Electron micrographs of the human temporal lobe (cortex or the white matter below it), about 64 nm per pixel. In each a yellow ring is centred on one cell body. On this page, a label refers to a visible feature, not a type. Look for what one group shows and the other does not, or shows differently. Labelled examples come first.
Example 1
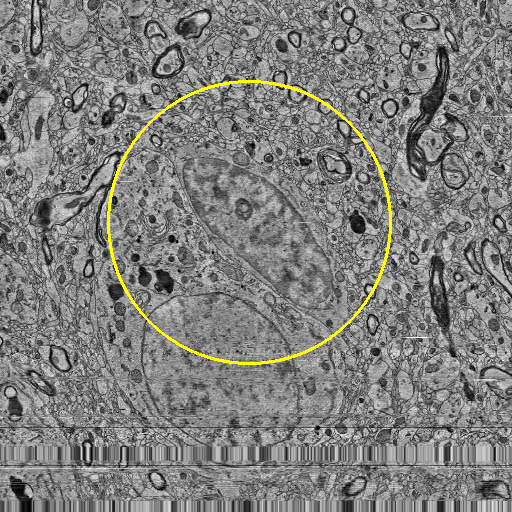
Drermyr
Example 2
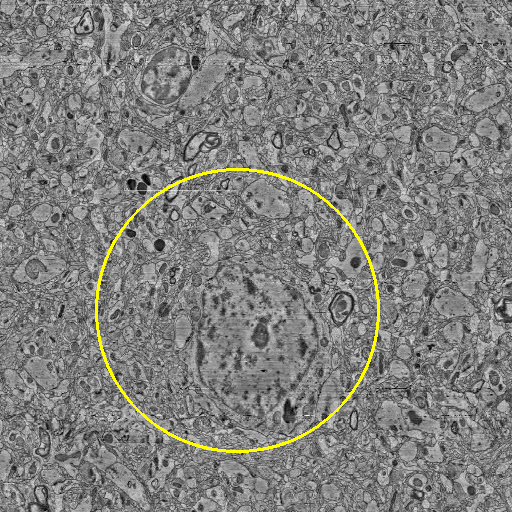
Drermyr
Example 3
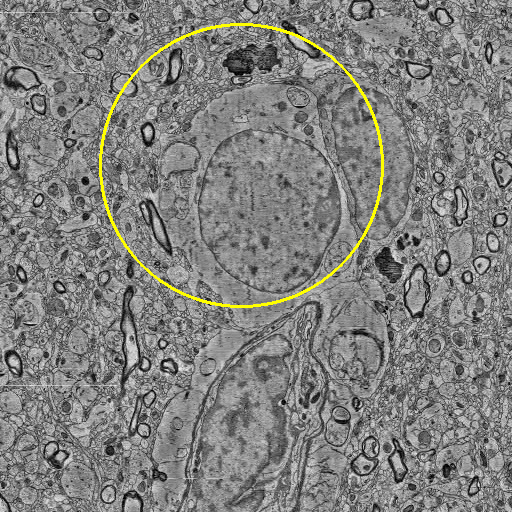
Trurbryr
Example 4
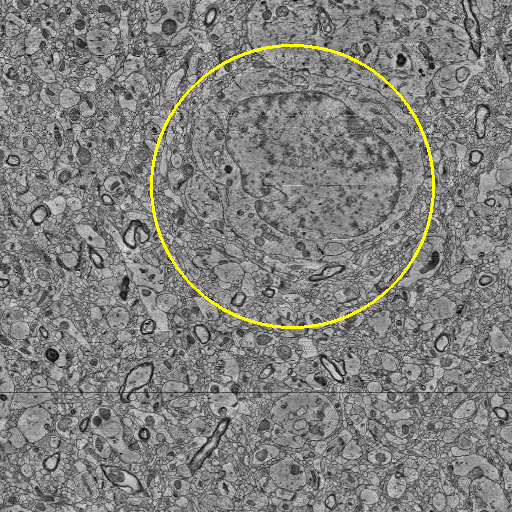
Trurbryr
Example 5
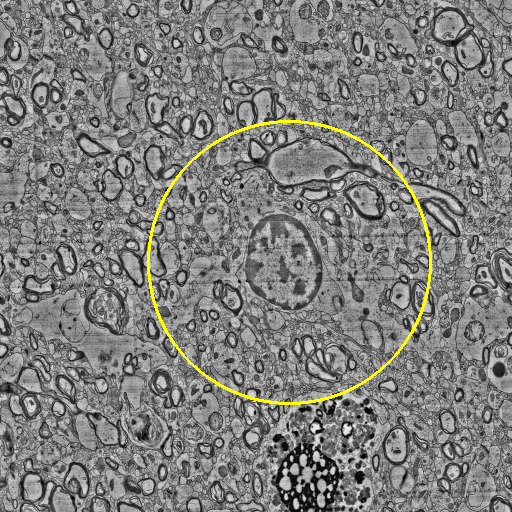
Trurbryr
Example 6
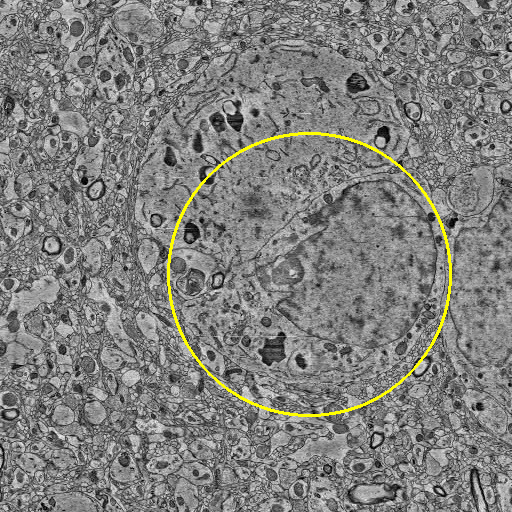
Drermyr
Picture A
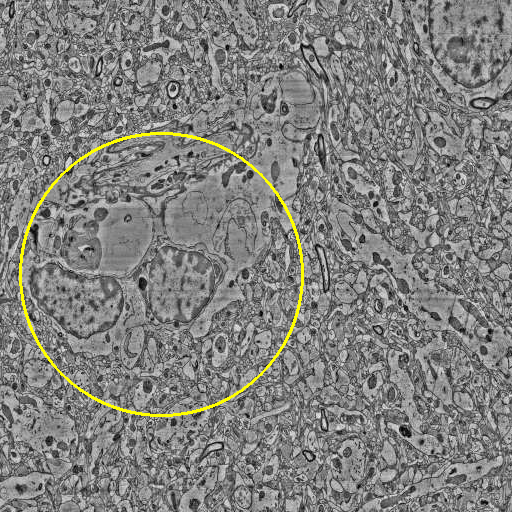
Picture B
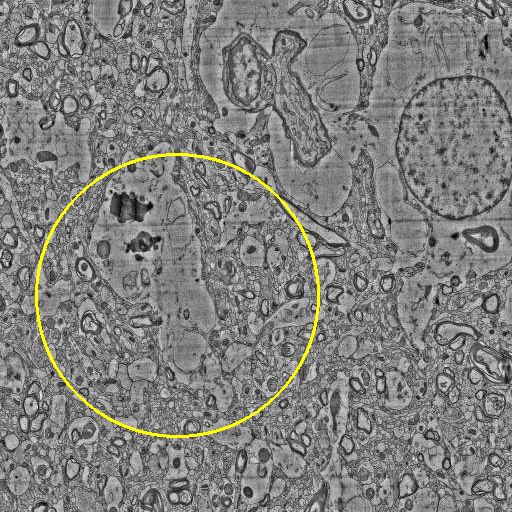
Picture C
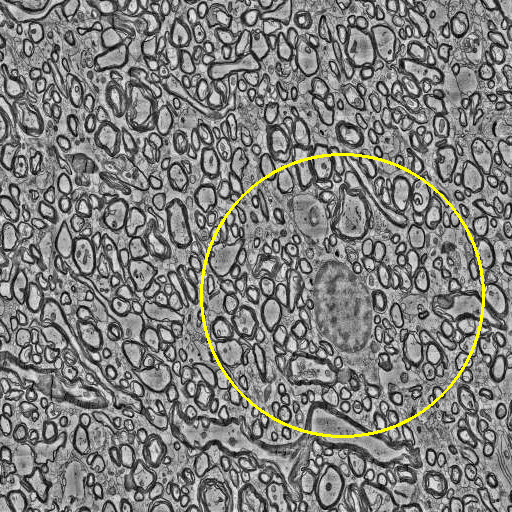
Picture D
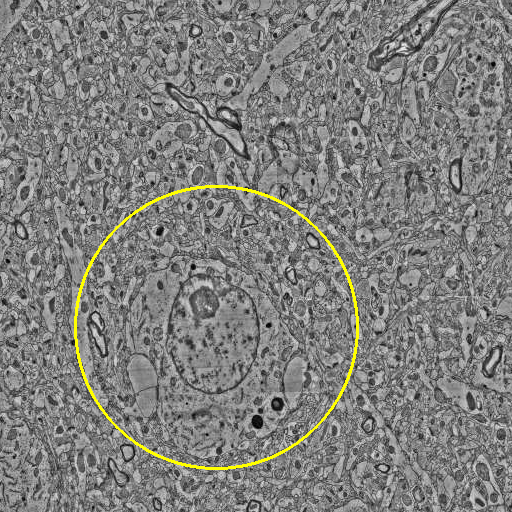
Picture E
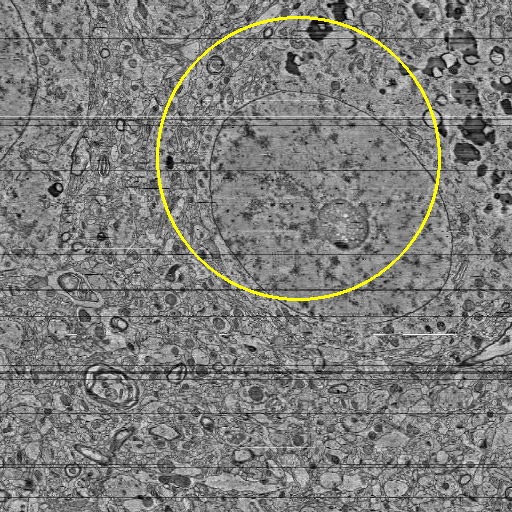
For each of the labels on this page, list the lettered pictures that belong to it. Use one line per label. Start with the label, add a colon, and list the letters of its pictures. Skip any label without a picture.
Drermyr: D, E
Trurbryr: A, B, C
